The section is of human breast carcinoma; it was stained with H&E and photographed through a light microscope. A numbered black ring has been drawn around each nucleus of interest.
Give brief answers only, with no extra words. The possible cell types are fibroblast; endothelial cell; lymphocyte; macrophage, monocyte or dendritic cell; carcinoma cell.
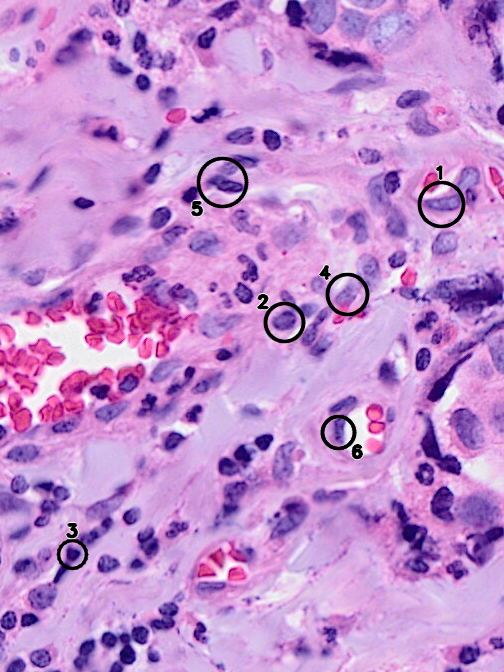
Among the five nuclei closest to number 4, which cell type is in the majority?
macrophage, monocyte or dendritic cell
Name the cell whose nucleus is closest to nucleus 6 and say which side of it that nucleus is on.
an endothelial cell; above nucleus 6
